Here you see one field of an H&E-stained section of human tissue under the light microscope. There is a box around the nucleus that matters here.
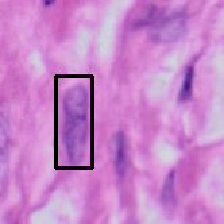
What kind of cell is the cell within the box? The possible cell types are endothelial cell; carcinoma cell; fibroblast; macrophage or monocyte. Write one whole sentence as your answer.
For the purposes of cell typing, the cell within the box is categorized as a fibroblast.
